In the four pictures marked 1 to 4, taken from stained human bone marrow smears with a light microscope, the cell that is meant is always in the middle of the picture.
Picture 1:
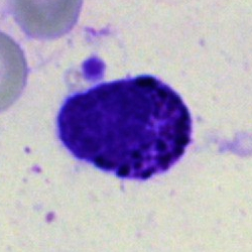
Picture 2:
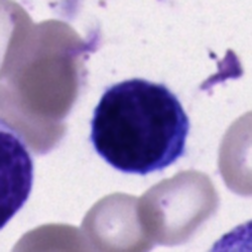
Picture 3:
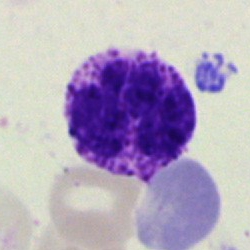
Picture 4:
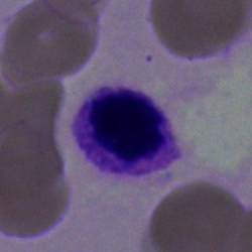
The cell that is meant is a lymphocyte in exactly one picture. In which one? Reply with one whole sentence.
Picture 2 shows the lymphocyte.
